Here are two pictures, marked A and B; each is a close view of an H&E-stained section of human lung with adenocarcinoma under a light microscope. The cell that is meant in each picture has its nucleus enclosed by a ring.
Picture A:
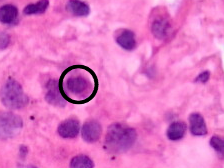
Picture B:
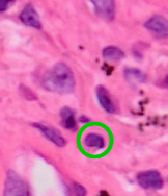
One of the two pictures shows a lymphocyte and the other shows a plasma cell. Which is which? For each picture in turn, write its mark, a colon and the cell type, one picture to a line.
A: plasma cell
B: lymphocyte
